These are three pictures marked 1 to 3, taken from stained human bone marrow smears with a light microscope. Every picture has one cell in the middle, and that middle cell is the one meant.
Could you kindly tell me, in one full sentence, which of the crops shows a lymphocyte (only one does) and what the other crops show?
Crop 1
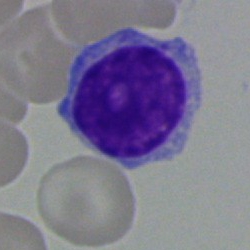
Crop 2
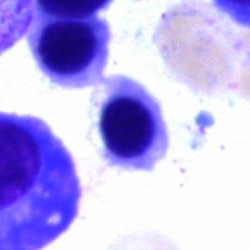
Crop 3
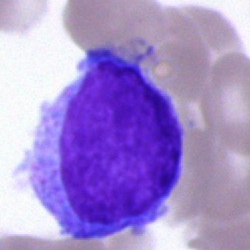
Crop 1 is recognised as a lymphocyte, whereas crop 2 is an erythroblast and crop 3 is a blast.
